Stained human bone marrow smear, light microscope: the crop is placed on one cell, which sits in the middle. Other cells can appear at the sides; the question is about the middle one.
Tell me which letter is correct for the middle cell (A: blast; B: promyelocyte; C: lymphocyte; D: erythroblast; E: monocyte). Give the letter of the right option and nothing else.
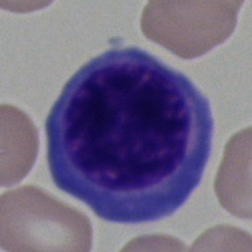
D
